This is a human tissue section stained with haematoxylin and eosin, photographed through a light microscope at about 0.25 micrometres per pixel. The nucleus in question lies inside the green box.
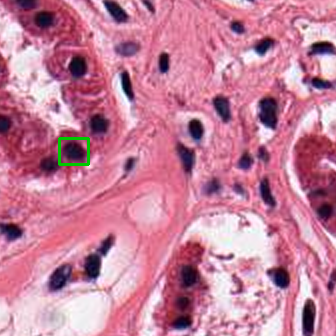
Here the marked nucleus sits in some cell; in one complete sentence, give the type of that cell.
Singled out by the mark is the nucleus of a proximal tubule cell.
